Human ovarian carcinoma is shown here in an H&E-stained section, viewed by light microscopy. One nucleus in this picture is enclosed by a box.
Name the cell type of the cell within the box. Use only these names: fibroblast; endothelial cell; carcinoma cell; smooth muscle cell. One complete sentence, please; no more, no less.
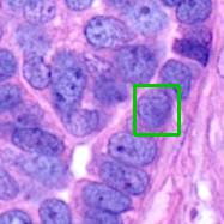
Histopathologically, the cell within the box is a carcinoma cell.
